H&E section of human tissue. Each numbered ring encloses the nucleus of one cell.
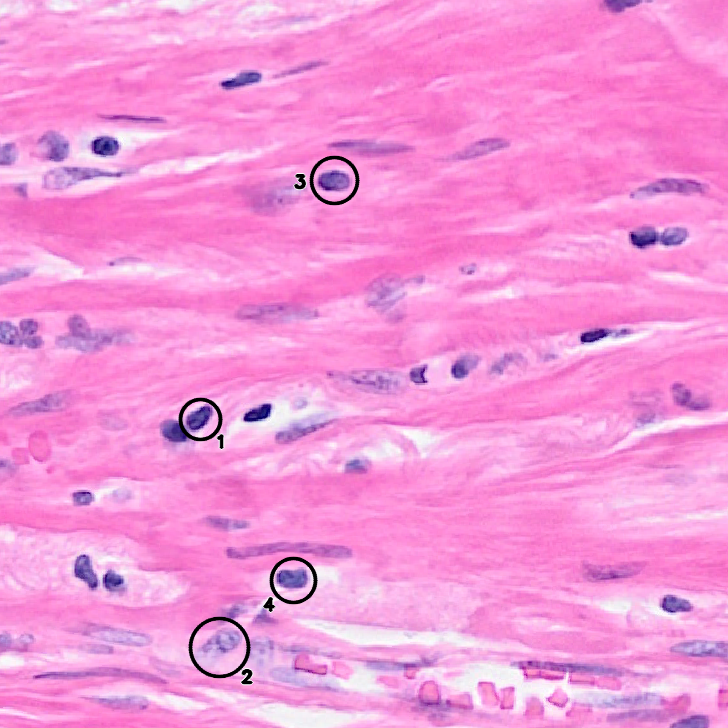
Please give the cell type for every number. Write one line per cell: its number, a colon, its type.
1: lymphocyte
2: endothelial cell
3: lymphocyte
4: lymphocyte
